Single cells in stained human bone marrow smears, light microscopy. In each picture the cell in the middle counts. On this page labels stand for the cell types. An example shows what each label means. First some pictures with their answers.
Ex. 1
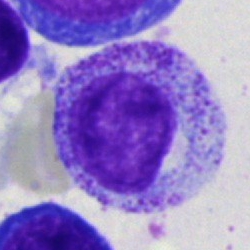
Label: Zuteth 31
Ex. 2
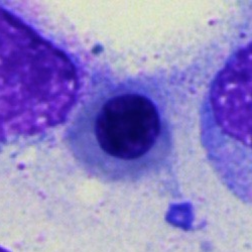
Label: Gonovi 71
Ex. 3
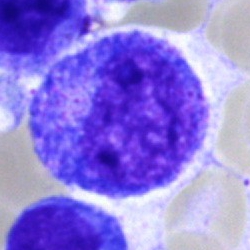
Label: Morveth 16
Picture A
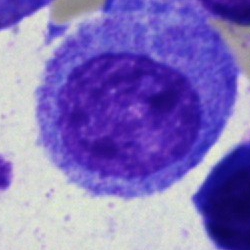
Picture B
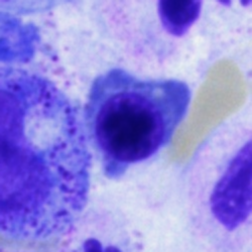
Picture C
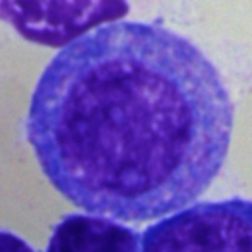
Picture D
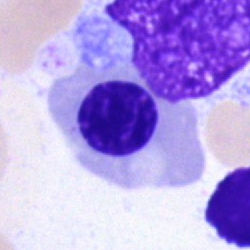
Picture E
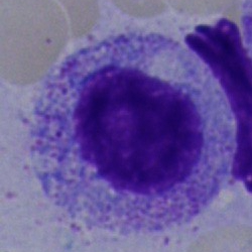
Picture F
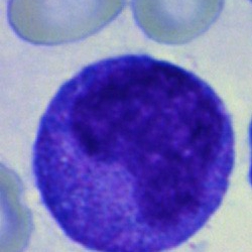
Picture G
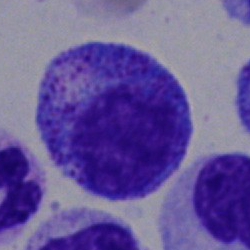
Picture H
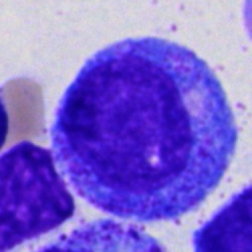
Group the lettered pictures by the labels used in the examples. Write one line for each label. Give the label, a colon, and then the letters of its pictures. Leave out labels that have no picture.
Zuteth 31: E
Gonovi 71: B, D
Morveth 16: A, C, F, G, H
